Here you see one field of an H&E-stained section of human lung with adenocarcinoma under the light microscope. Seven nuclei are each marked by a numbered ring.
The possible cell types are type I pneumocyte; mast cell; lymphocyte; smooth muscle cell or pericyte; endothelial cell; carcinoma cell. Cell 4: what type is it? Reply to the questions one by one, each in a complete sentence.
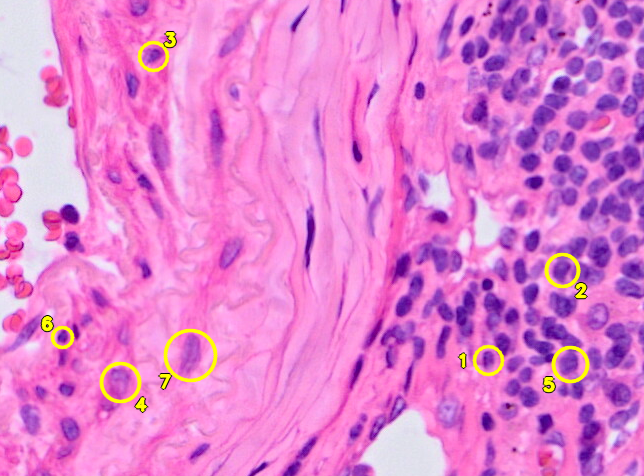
The cell with the number 4 is a smooth muscle cell or pericyte.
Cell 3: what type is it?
As for number 3, that cell is a smooth muscle cell or pericyte.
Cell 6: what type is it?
To a smooth muscle cell or pericyte belongs the nucleus marked 6.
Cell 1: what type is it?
The identity of cell 1 is that of a lymphocyte.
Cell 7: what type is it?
The cell that is numbered 7 is a smooth muscle cell or pericyte.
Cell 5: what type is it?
The cell that carries the label 5 is a lymphocyte.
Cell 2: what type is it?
The cell assigned the number 2 is a lymphocyte.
